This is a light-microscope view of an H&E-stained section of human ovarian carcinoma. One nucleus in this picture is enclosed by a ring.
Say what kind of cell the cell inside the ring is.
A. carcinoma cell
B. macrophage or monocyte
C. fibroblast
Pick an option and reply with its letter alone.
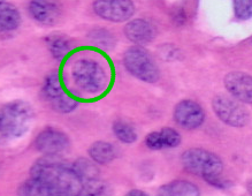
A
